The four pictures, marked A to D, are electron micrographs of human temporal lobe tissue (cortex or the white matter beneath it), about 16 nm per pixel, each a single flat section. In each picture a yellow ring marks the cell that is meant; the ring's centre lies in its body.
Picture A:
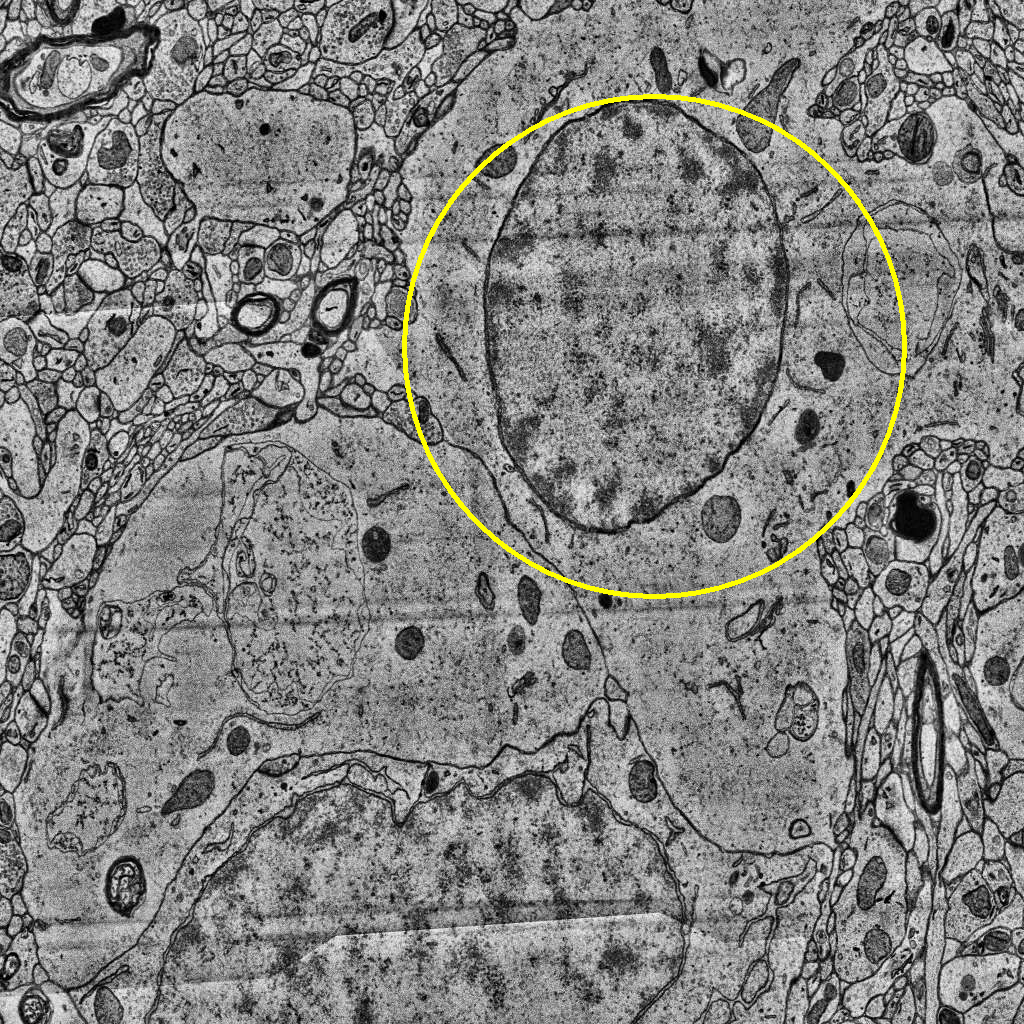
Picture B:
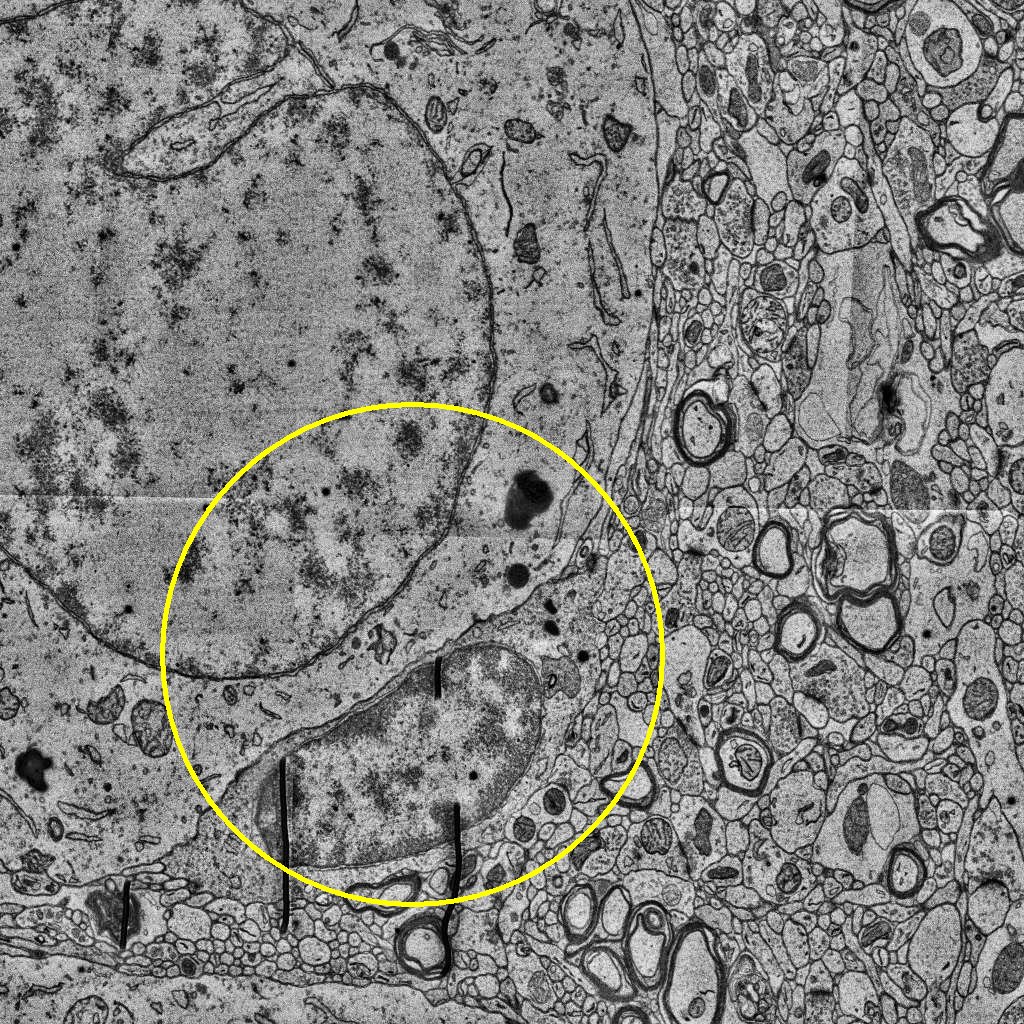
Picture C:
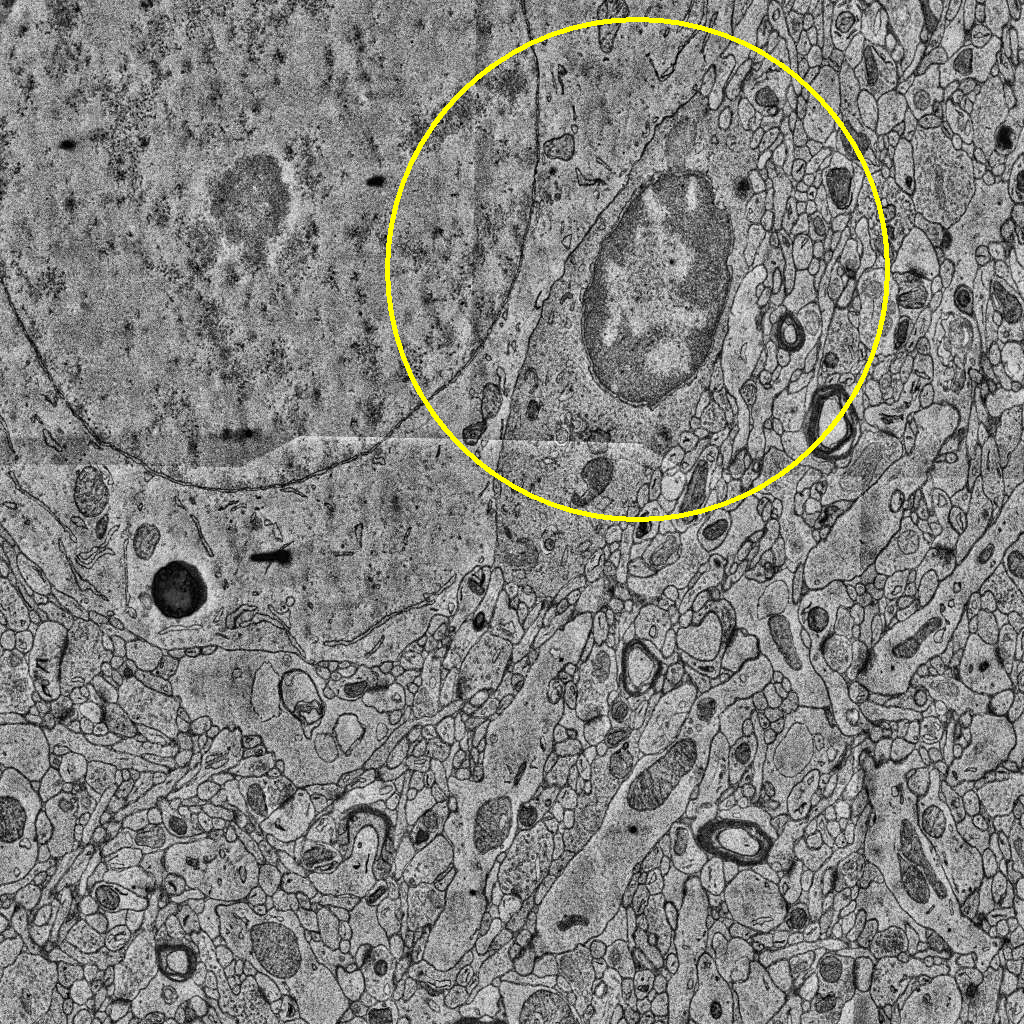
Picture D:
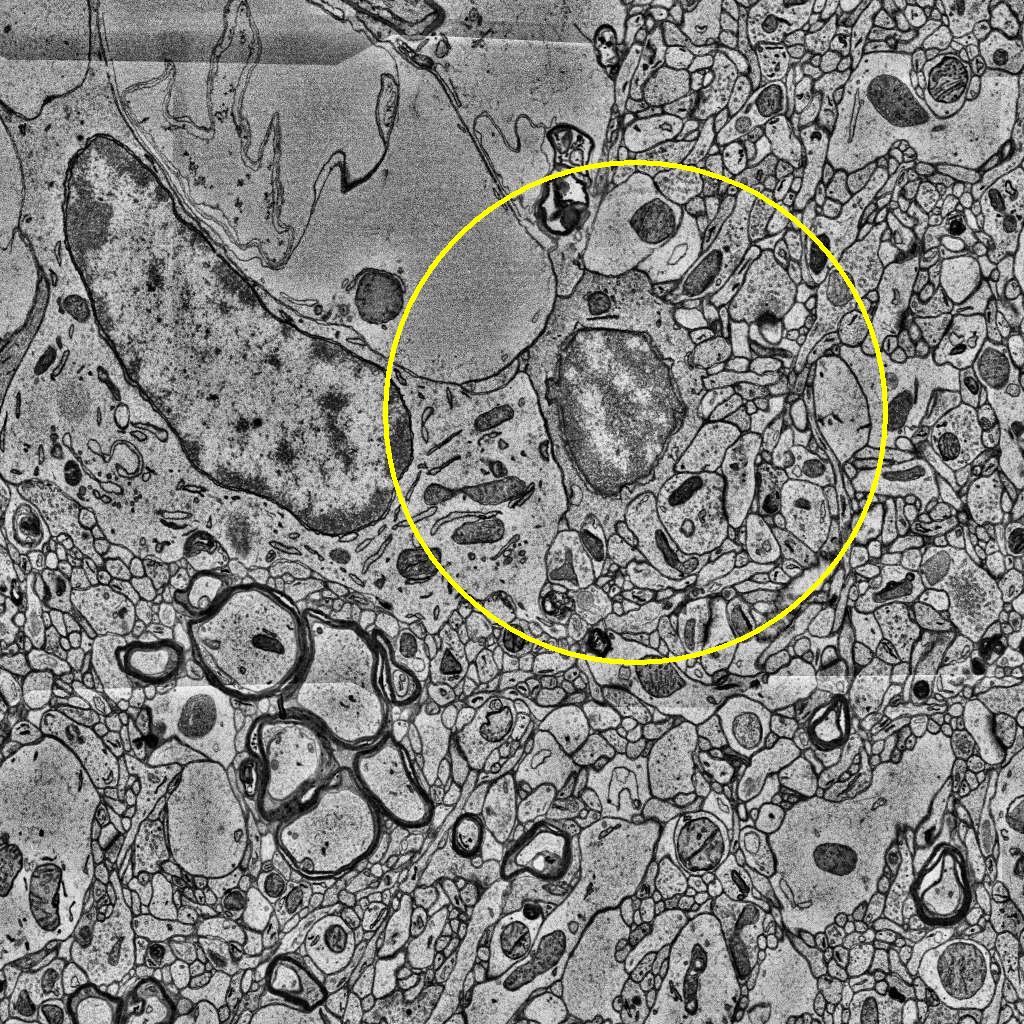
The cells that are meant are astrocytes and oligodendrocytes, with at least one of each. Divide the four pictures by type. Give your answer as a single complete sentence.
Picture A shows an astrocyte, and pictures B, C and D show oligodendrocytes.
